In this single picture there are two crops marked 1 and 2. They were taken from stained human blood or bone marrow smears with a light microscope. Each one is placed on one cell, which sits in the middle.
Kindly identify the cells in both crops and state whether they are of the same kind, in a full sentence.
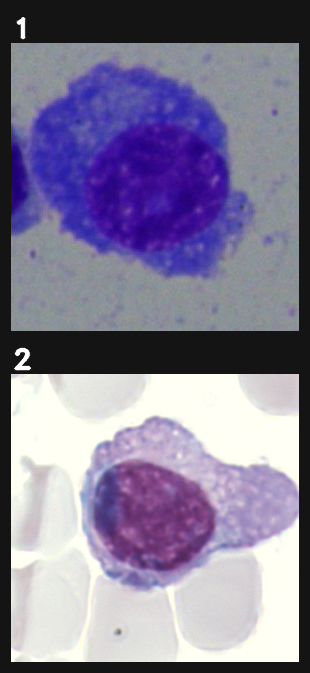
Yes, plasma cells are seen in both crops.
